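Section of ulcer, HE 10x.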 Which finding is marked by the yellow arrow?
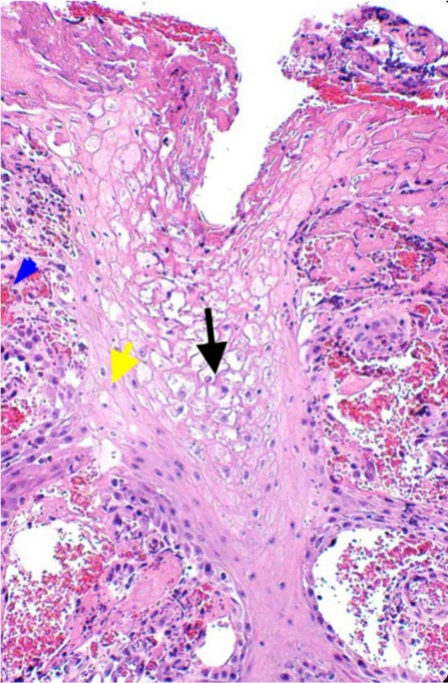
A: swollen keratinocytes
